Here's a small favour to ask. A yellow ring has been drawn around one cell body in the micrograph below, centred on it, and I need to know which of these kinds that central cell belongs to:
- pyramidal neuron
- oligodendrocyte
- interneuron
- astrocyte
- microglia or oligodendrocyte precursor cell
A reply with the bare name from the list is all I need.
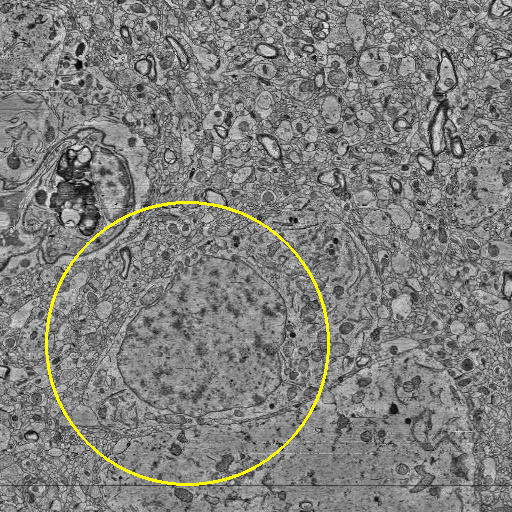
interneuron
